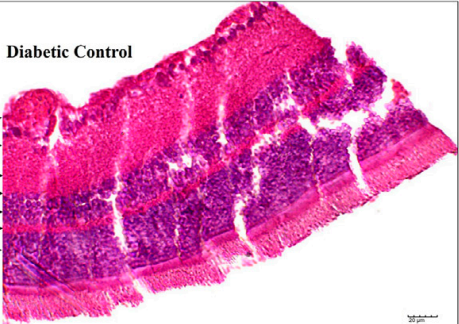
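This is a section through the layered tissue at the back of the eye, with broad pink inner bands above densely packed purple nuclear bands. The purple bands are made of crowded small round nuclei. Several white clefts run across the layers, splitting the tissue into blocks. A thin striated pink fringe lines the bottom edge.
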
